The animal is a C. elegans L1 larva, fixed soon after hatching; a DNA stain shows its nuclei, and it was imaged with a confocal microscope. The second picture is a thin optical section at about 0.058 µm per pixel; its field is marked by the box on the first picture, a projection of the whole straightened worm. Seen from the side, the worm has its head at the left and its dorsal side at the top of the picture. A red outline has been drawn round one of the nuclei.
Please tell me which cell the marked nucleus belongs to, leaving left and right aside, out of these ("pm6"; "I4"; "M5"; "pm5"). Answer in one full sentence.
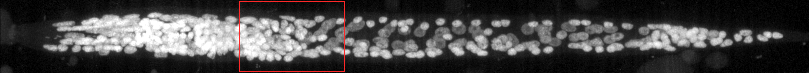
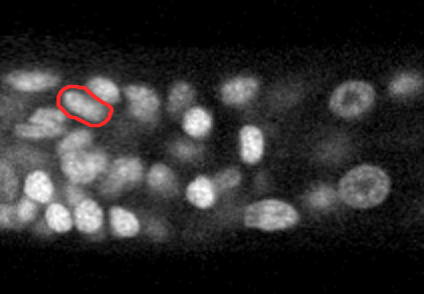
The marked cell is pm5, a pharyngeal muscle cell.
